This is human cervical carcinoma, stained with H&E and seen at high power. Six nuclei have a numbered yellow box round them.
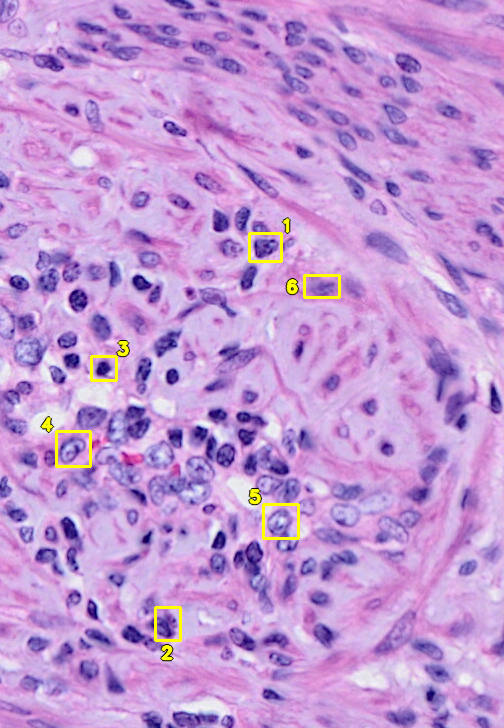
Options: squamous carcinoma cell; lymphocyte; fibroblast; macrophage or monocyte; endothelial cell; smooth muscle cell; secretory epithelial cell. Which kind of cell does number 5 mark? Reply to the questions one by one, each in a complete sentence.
The cell that goes by number 5 is an endothelial cell.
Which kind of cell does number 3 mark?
The cell indicated by marker 3 is a lymphocyte in this section.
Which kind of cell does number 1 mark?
Cell 1 is classified as a lymphocyte.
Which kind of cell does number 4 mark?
The cell whose nucleus carries the number 4 is an endothelial cell.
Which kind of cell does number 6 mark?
The one labeled 6 is a smooth muscle cell, to put it simply.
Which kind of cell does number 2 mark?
Cell 2 in the field is a lymphocyte.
